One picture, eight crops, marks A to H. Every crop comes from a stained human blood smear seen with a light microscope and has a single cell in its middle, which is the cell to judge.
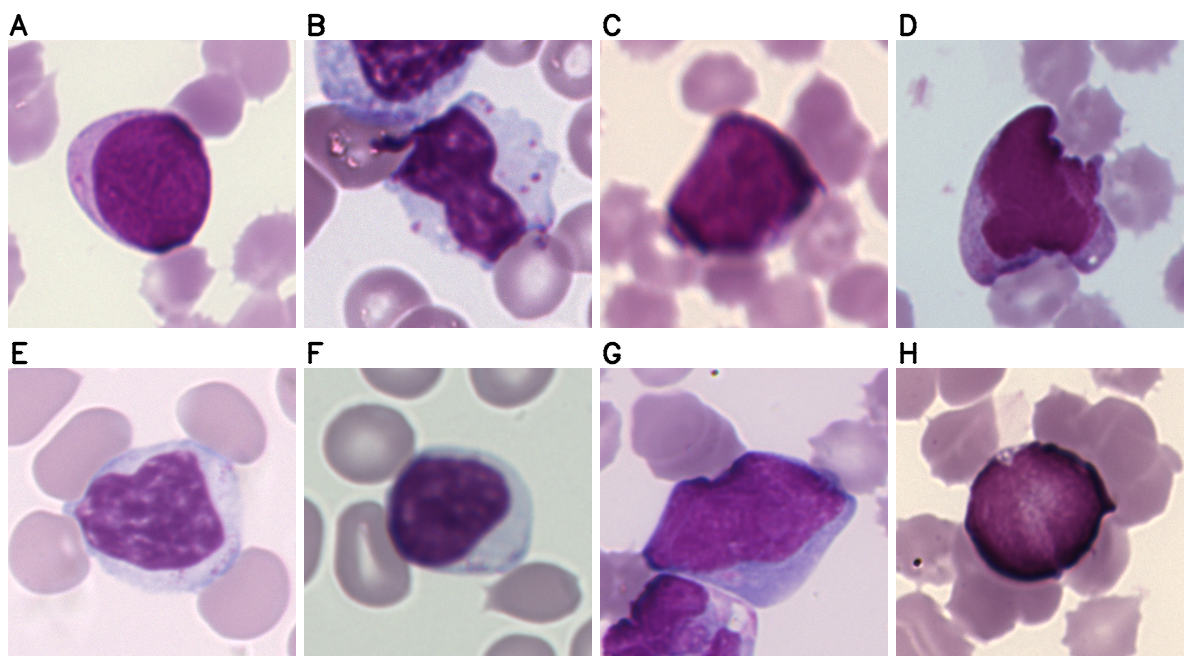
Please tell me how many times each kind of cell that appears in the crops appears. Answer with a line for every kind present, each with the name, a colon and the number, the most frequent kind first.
blast: 5
large granular lymphocyte: 3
